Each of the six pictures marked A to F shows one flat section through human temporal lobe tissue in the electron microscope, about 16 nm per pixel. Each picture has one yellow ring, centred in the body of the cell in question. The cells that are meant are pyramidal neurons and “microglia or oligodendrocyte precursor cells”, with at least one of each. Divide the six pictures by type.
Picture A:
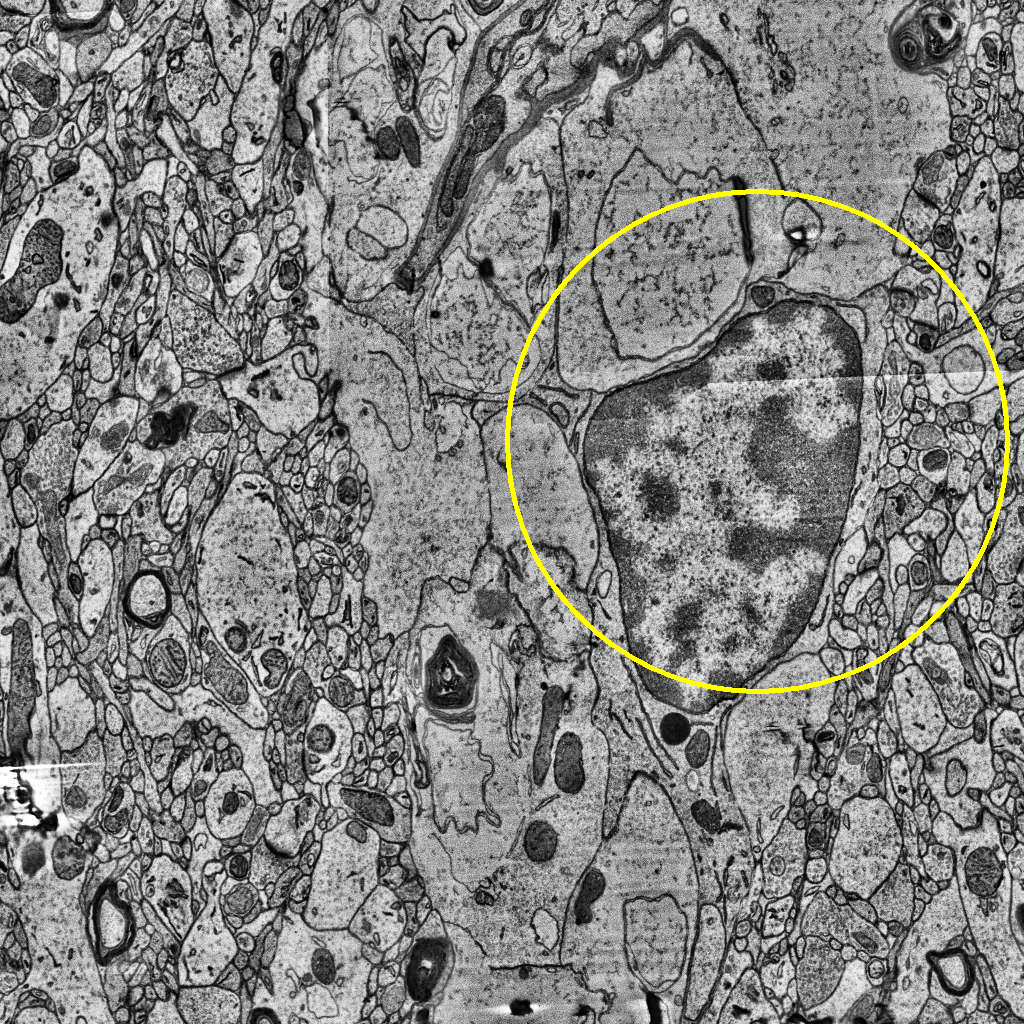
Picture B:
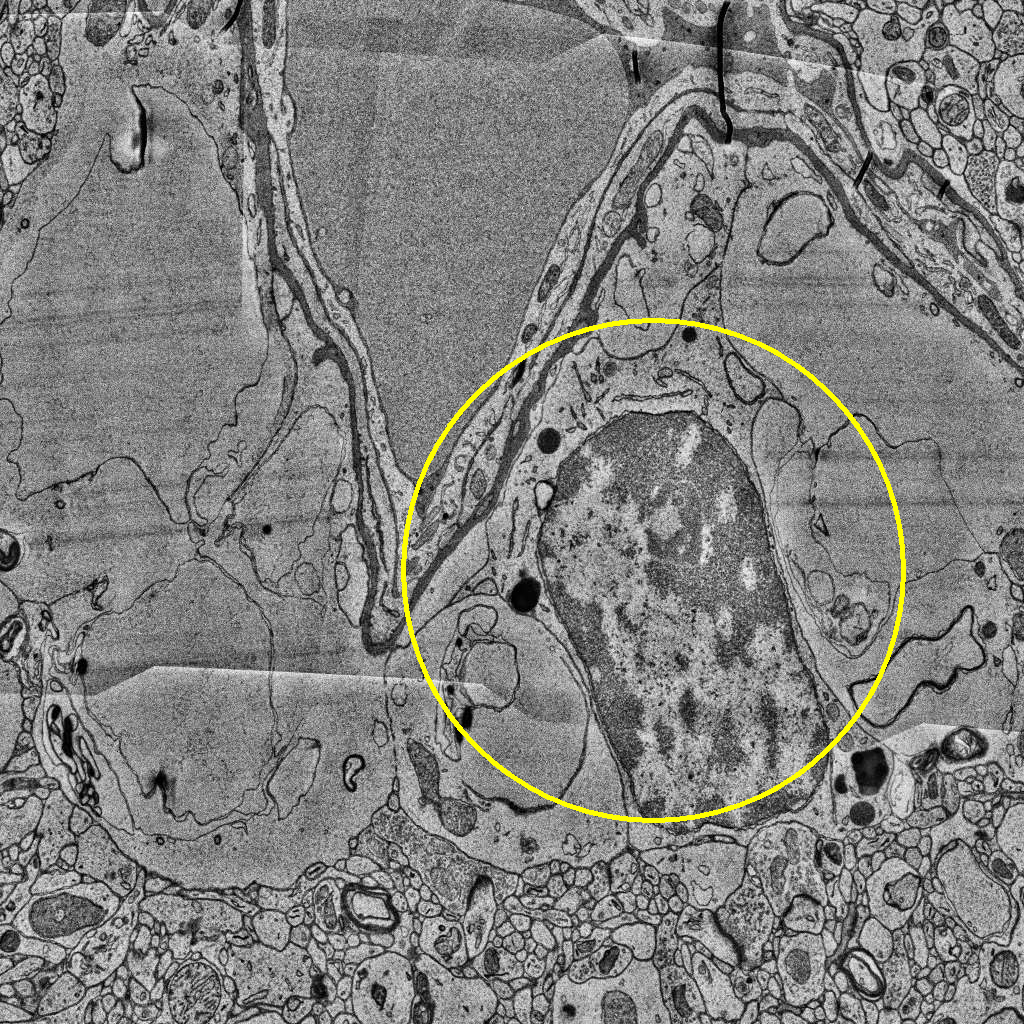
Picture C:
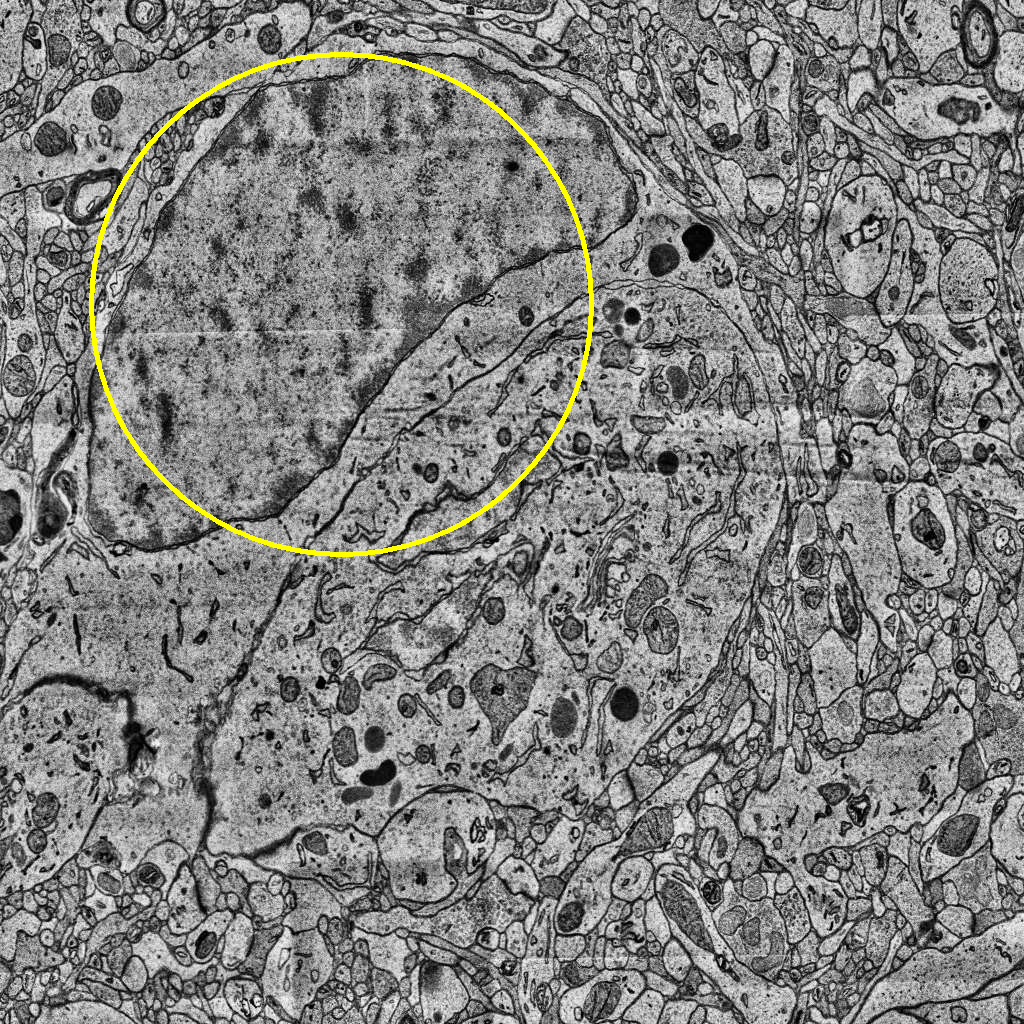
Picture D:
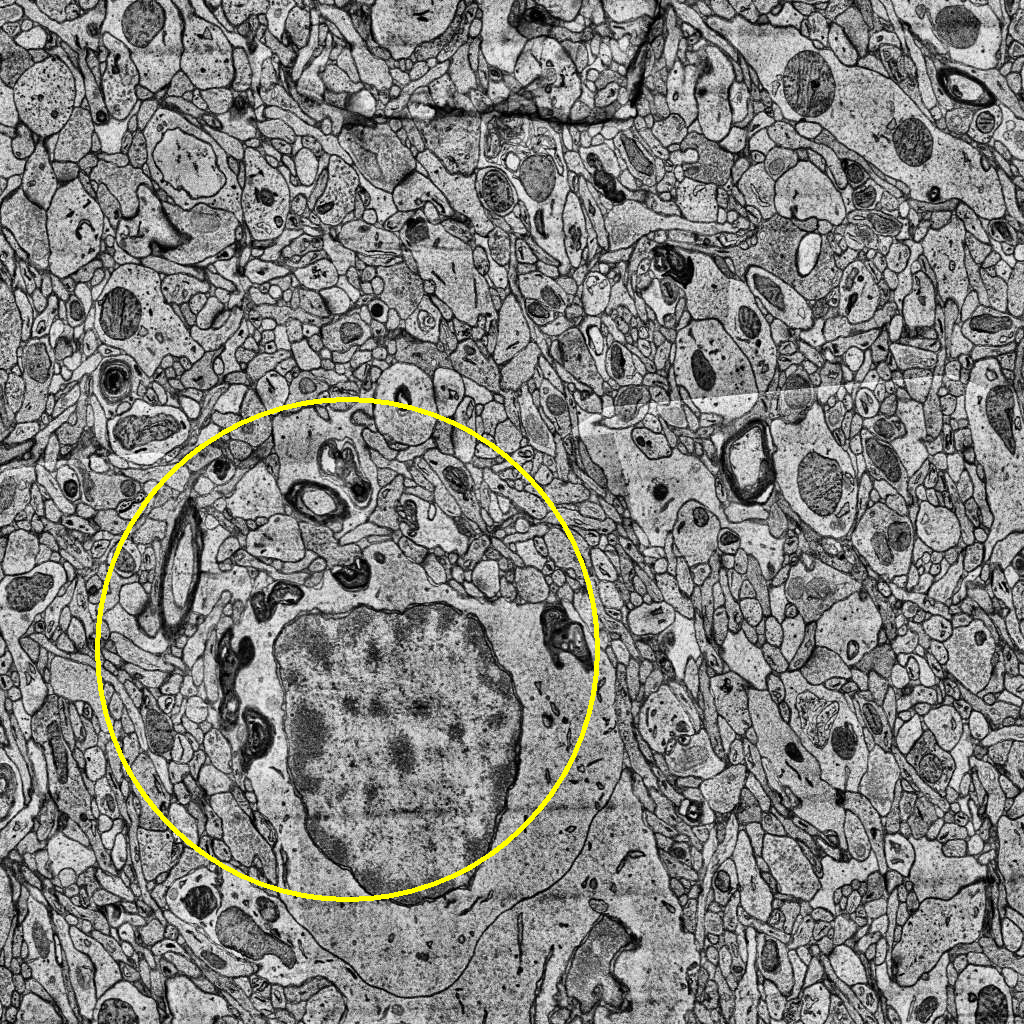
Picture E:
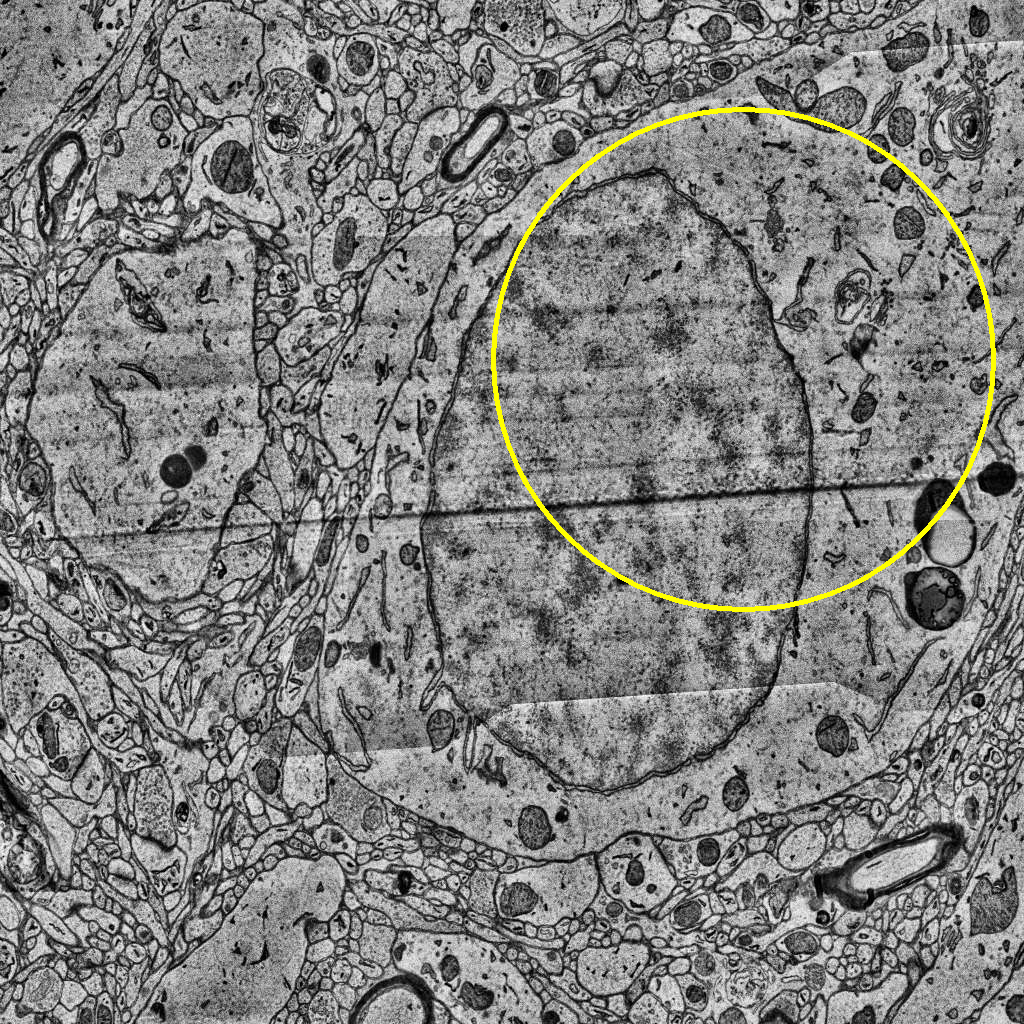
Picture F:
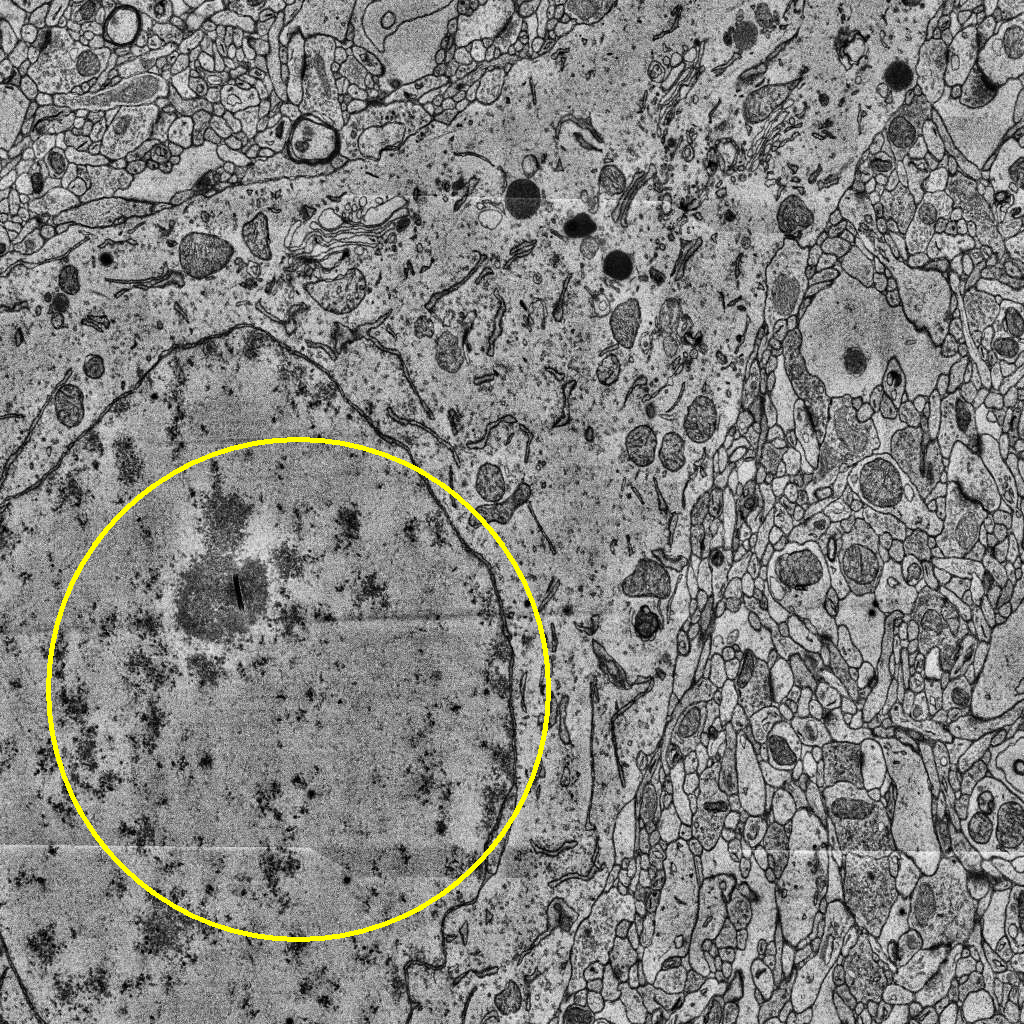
Pictures E and F show pyramidal neurons, while pictures A, B, C and D show “microglia or oligodendrocyte precursor cells”.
